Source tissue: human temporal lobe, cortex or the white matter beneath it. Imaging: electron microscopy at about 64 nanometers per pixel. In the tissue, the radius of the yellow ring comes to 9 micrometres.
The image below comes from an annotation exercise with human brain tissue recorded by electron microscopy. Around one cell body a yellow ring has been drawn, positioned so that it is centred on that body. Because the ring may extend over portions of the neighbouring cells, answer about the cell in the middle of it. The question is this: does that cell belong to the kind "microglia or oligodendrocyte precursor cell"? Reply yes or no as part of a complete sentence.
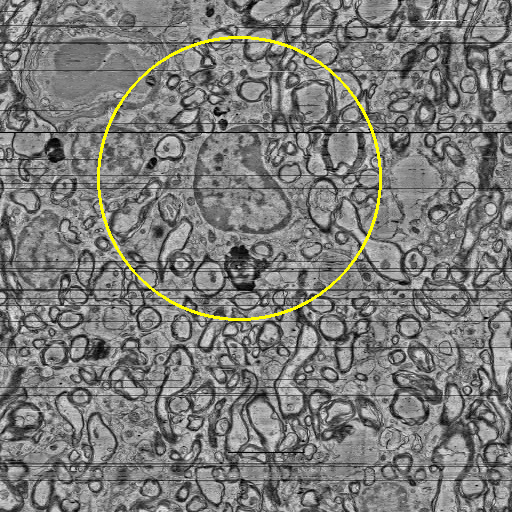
Yes, in the image the cell in the middle of the ring is of the kind asked about.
